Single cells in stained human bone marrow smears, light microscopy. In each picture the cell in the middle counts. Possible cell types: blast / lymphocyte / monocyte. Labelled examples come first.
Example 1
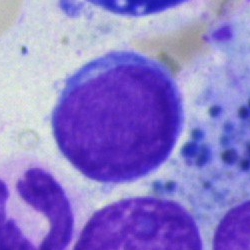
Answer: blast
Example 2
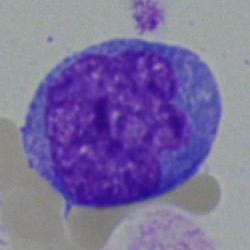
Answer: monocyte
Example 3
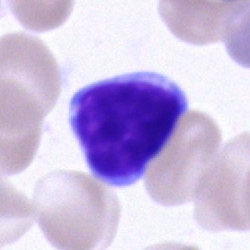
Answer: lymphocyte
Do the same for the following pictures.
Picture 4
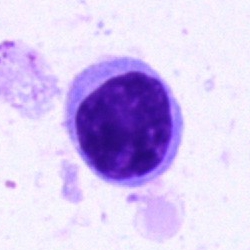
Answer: lymphocyte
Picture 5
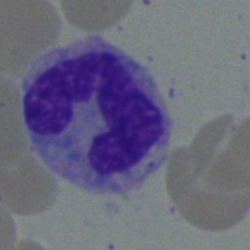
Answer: monocyte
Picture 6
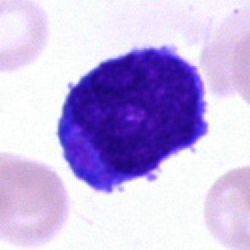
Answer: blast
